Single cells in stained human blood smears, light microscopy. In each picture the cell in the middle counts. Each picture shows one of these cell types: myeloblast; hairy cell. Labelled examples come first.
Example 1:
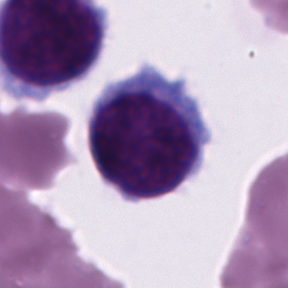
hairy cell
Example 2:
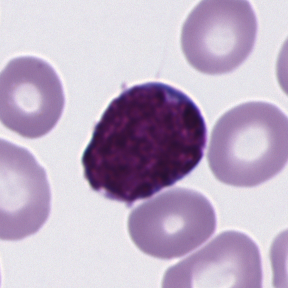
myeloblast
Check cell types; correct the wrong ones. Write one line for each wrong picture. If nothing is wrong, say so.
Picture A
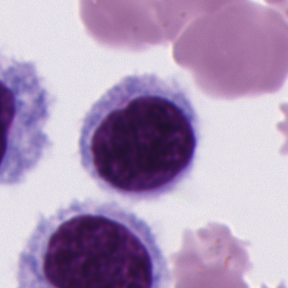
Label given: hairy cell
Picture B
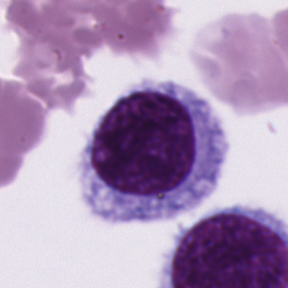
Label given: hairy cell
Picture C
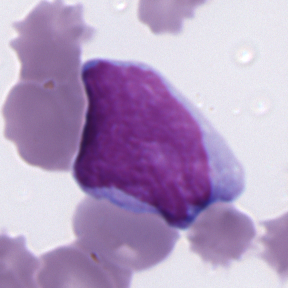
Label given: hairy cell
C: change hairy cell to myeloblast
